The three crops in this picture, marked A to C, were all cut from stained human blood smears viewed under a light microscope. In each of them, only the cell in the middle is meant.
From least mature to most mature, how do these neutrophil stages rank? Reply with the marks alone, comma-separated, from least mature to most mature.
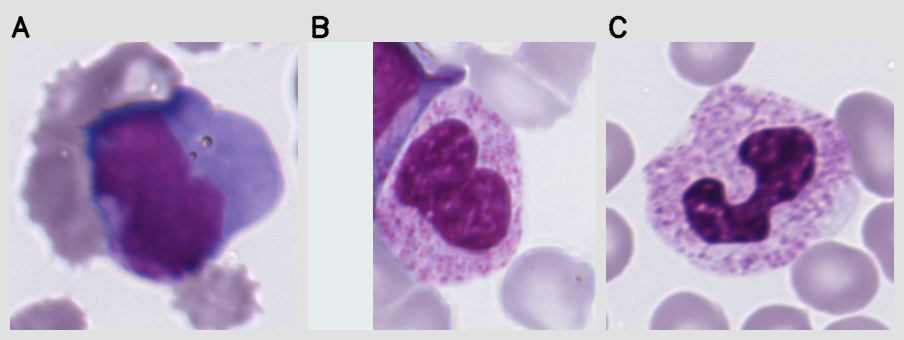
A, B, C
